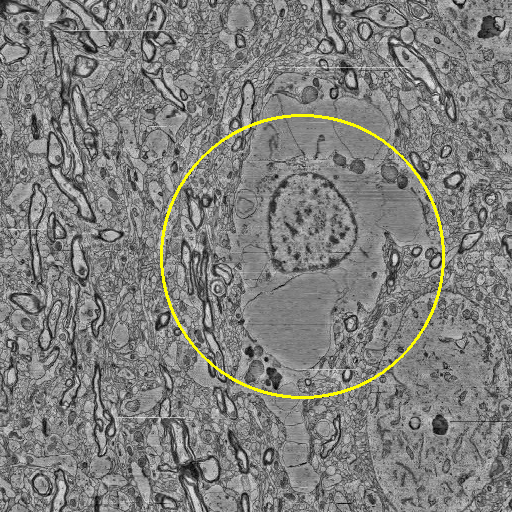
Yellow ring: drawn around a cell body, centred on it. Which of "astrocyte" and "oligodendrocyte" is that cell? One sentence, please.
That cell body is from an astrocyte.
